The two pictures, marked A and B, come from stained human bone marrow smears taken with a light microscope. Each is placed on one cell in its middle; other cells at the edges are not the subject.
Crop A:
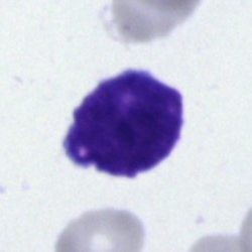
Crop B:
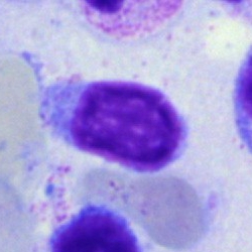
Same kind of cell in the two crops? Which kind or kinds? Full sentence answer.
No, crop A carries a blast and crop B carries a lymphocyte.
